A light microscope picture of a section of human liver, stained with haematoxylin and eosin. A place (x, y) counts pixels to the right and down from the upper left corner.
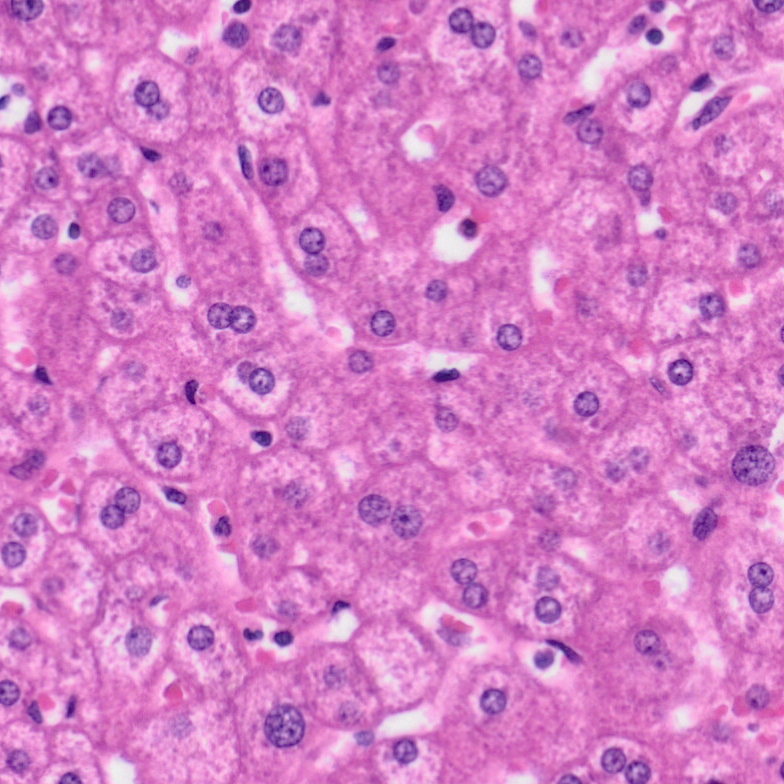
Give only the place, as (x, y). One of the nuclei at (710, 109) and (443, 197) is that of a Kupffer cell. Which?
(710, 109)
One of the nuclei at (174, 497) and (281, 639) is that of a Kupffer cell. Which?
(174, 497)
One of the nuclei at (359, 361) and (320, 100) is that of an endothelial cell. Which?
(320, 100)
